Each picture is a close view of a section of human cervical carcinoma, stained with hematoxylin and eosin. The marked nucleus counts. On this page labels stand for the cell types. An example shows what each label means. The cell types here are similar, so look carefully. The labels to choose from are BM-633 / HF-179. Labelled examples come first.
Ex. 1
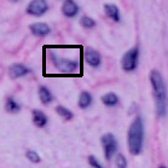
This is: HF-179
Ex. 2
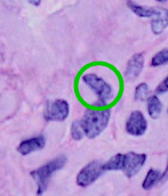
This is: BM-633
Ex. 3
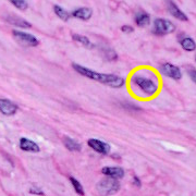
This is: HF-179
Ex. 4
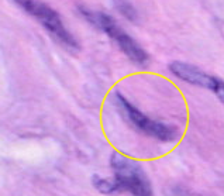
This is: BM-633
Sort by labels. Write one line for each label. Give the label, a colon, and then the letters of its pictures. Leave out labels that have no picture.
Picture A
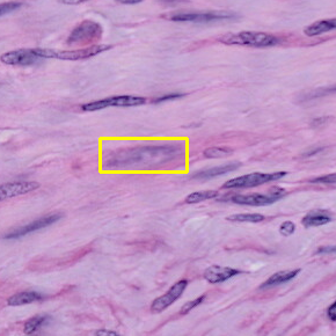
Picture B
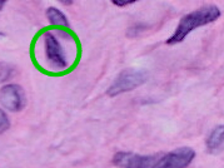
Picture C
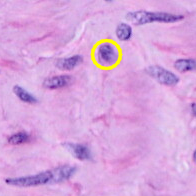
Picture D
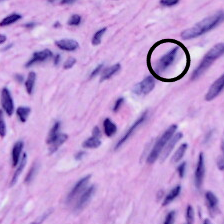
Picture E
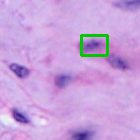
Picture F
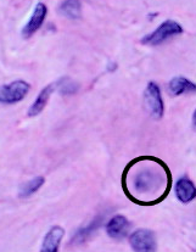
BM-633: B, D, F
HF-179: A, C, E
